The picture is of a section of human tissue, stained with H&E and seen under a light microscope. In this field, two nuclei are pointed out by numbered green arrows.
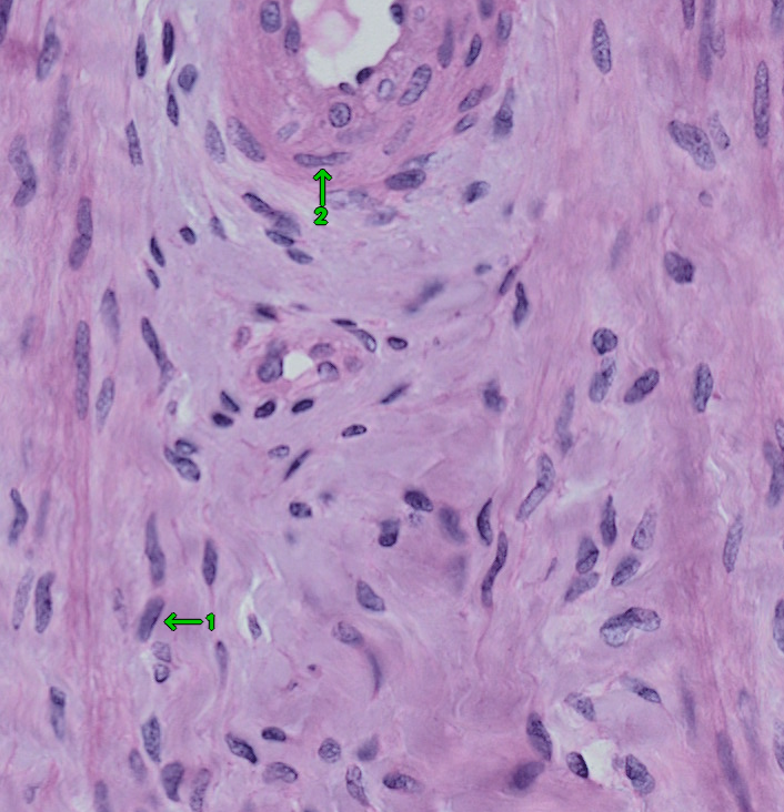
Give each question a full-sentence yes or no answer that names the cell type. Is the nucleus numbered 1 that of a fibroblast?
Yes, the cell distinguished by number 1 is a fibroblast.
